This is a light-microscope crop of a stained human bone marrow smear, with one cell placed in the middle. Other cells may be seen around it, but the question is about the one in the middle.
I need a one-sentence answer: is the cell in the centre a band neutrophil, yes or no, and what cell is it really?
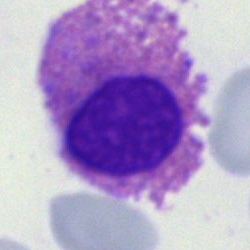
No, what the centre of the crop shows is an eosinophil, not a band neutrophil.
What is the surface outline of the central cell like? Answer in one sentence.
A ragged or projecting edge replaces the smooth outline in this cell.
